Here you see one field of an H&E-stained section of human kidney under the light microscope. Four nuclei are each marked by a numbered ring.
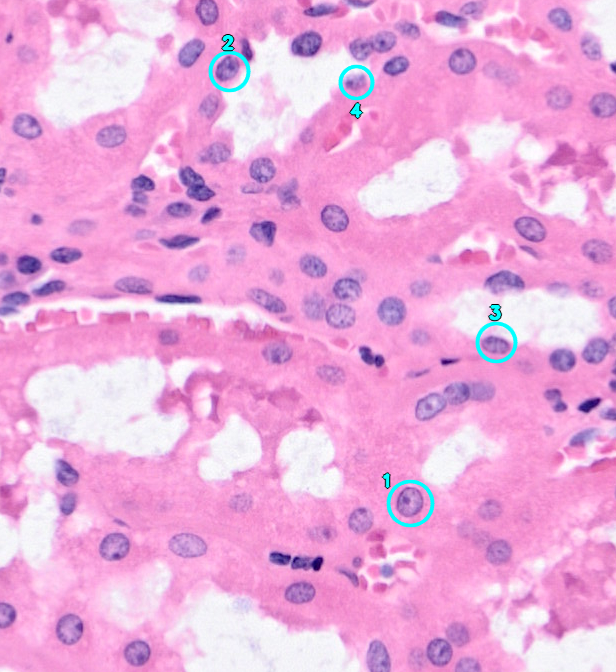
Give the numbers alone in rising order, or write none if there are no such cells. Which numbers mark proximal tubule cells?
1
